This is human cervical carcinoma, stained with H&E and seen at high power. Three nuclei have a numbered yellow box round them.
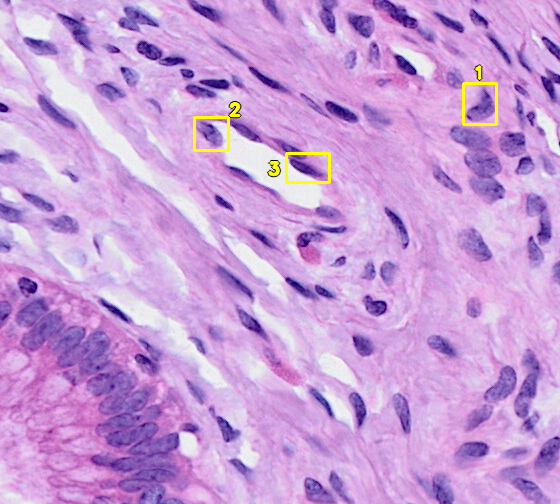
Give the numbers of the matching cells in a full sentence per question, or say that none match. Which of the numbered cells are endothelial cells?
Cells that were given the numbers 2 and 3 are endothelial cells.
